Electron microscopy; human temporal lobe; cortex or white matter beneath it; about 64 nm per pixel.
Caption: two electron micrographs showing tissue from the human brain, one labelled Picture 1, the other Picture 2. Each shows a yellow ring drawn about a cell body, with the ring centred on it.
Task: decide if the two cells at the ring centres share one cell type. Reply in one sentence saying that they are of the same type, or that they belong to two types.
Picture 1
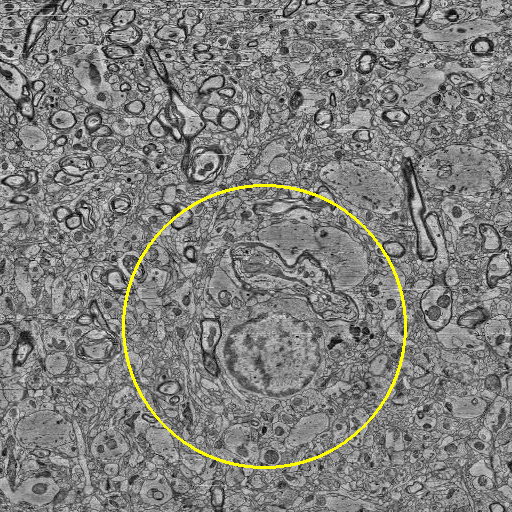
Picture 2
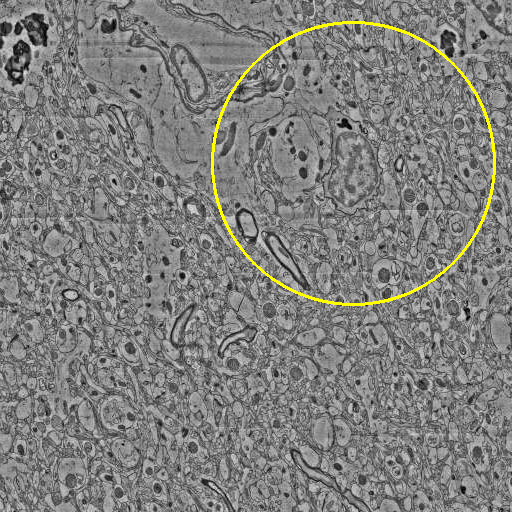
The cells at the ring centres in Picture 1 and Picture 2 are of the same type.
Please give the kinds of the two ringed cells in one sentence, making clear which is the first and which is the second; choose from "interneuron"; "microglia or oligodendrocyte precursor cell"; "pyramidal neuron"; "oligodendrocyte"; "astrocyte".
In the first picture and in the second, the ring is centred on an oligodendrocyte.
